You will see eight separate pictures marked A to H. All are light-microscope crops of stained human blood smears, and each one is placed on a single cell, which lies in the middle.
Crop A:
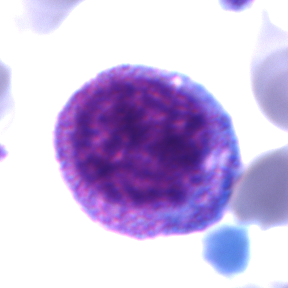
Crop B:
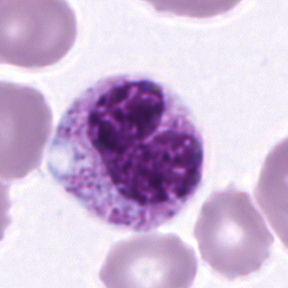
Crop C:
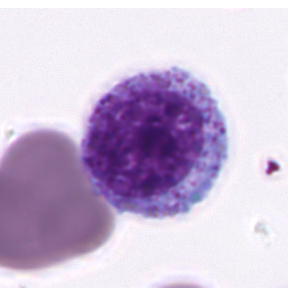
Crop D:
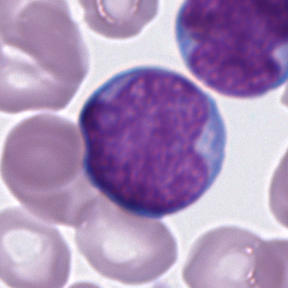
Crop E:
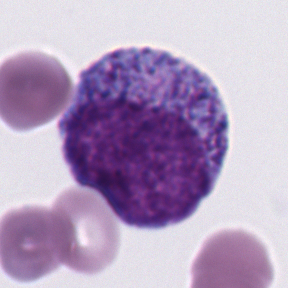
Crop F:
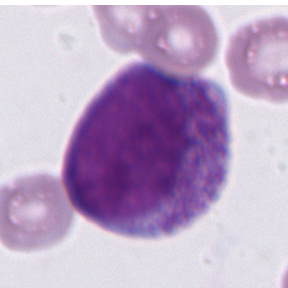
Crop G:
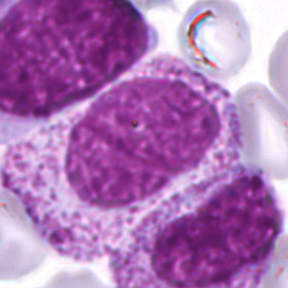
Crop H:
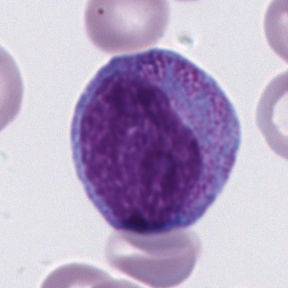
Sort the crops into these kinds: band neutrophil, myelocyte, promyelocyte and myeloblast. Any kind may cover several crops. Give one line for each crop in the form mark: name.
A: promyelocyte
B: band neutrophil
C: myelocyte
D: myeloblast
E: myelocyte
F: promyelocyte
G: myelocyte
H: promyelocyte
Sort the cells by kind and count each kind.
promyelocyte: 3
myelocyte: 3
band neutrophil: 1
myeloblast: 1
